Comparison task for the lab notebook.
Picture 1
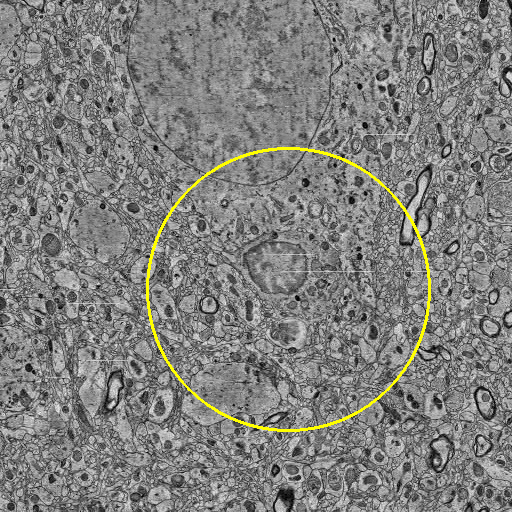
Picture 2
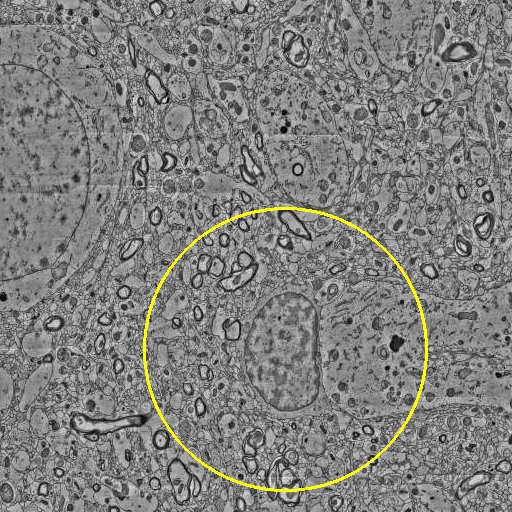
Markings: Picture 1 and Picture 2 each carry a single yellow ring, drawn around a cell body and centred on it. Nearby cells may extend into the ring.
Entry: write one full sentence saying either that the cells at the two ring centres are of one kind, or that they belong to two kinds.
The cells sitting at the ring centres in Picture 1 and Picture 2 are of one kind.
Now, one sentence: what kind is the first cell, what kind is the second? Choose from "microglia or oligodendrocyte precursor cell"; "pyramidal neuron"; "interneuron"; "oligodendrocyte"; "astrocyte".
Both cells are the same kind, each one being an oligodendrocyte.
